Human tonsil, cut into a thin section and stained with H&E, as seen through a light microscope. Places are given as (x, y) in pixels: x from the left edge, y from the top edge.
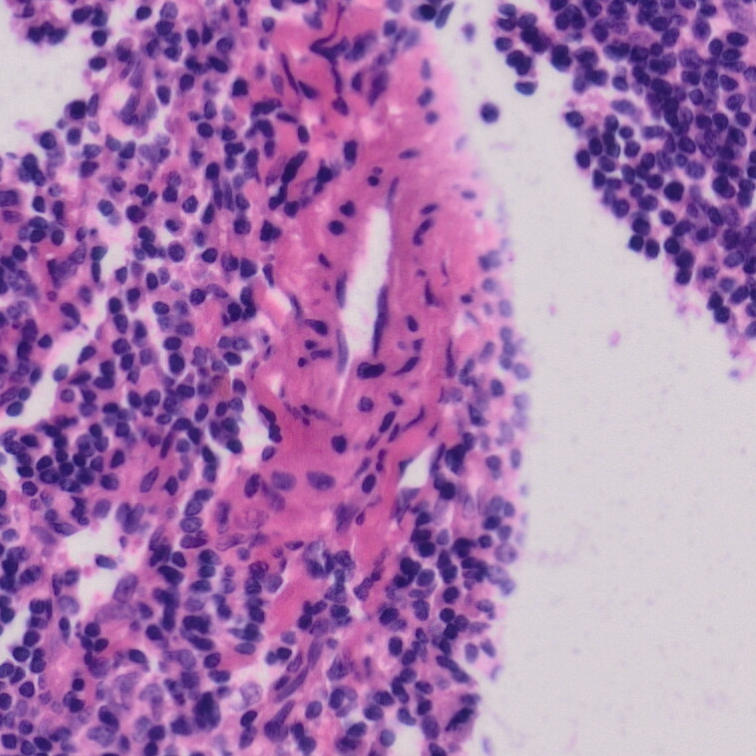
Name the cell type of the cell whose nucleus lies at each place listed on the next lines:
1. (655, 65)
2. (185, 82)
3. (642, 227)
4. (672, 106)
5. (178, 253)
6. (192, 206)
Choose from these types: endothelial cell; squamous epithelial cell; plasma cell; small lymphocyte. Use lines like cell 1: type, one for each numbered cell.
cell 1: small lymphocyte
cell 2: plasma cell
cell 3: small lymphocyte
cell 4: small lymphocyte
cell 5: plasma cell
cell 6: plasma cell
